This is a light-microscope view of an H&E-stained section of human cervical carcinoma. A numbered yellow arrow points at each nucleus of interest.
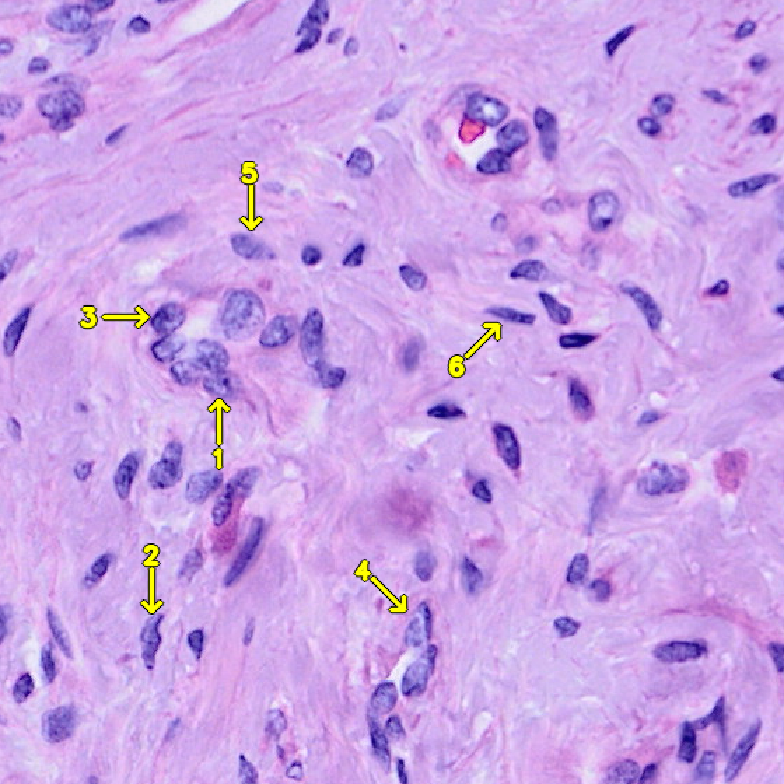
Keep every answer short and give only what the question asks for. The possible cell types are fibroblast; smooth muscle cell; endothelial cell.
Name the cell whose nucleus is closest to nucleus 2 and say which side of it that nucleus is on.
a fibroblast; to the right of nucleus 2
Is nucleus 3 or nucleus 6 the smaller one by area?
6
